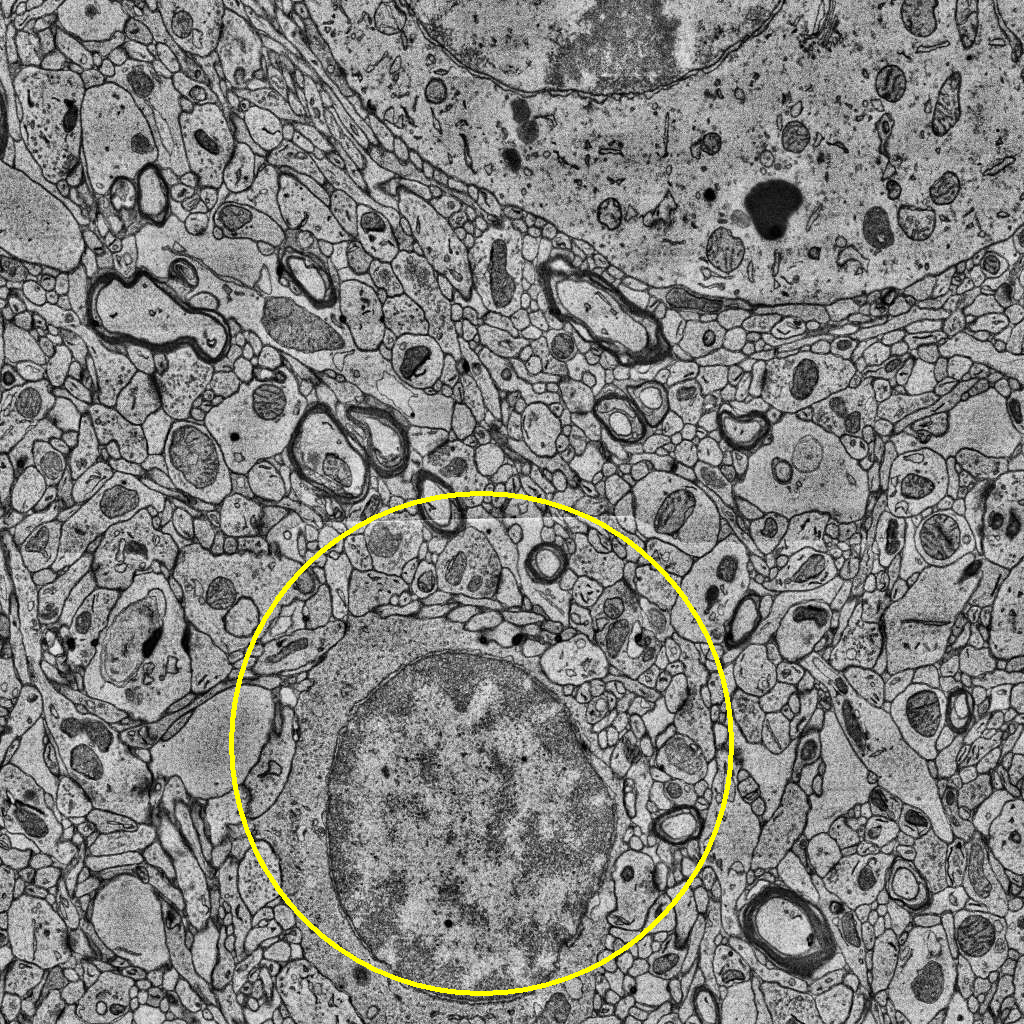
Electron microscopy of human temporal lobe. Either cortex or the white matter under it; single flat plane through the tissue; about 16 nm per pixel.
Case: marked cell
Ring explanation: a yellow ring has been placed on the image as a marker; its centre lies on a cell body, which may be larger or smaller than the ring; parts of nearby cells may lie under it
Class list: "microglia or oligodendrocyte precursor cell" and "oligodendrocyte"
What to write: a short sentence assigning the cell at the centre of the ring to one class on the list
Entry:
The cell at the ring's centre is an oligodendrocyte.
